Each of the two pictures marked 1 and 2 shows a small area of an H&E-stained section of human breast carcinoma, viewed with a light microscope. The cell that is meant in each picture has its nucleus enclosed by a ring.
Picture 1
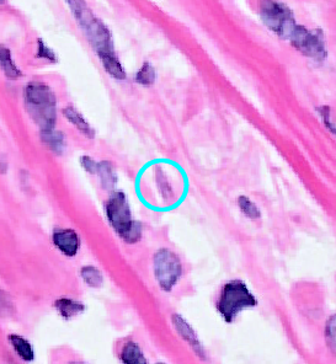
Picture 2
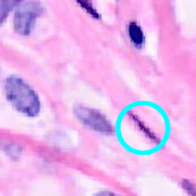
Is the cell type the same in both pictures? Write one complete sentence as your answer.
Yes; the cells in both pictures are fibroblasts.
